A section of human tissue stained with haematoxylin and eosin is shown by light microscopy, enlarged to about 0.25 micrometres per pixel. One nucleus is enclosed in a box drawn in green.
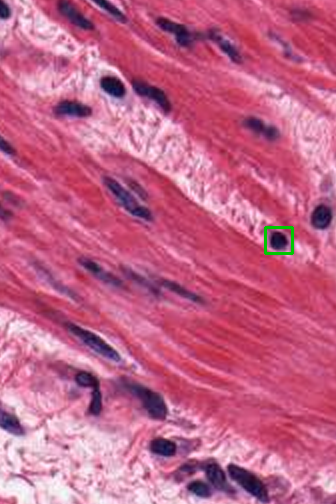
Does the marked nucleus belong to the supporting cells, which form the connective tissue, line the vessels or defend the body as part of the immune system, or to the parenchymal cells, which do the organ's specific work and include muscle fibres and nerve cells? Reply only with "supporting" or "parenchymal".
supporting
